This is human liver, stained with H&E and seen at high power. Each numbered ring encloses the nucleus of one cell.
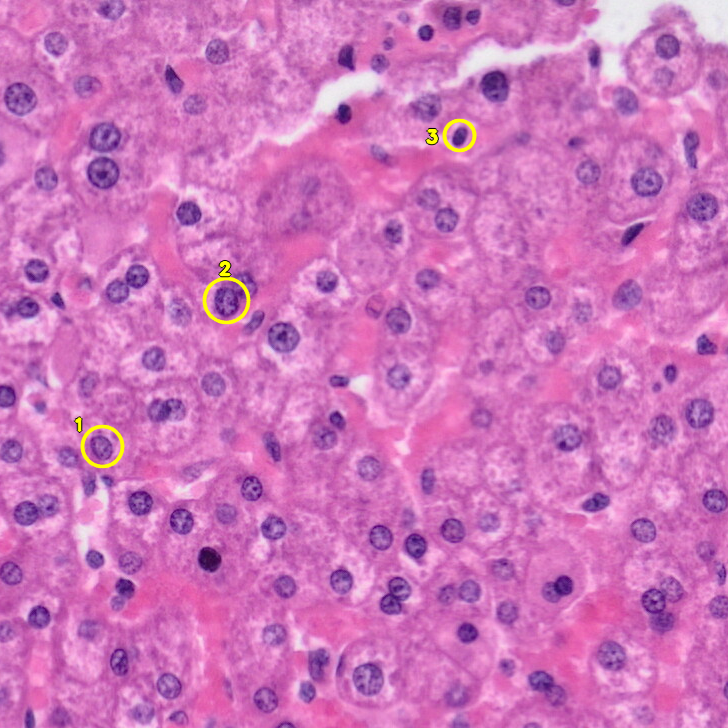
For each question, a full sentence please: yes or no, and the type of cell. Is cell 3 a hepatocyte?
No, cell 3 is not a hepatocyte; a lymphocyte is the correct identification.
